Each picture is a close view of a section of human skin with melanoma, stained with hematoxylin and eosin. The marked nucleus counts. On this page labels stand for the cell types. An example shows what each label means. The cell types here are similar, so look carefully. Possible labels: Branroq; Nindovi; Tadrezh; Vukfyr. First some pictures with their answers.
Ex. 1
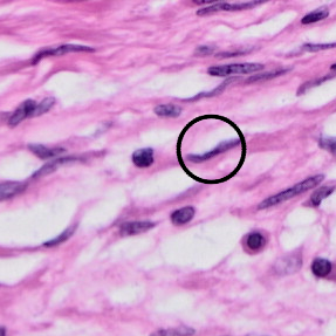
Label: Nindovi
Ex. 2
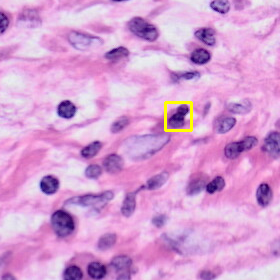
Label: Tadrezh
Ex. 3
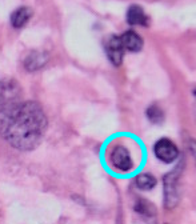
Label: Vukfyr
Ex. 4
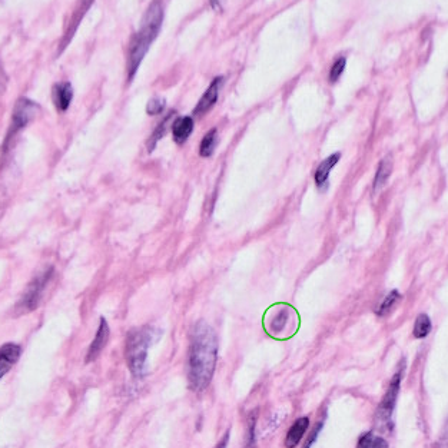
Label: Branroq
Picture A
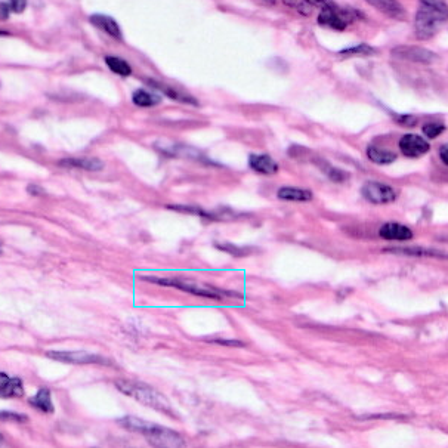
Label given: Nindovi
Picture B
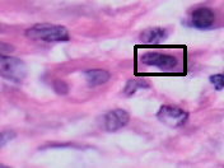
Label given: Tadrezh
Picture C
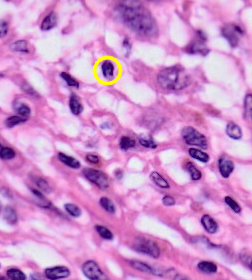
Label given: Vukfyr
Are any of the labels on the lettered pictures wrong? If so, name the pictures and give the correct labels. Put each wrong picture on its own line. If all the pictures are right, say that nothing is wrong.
All labels are correct.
